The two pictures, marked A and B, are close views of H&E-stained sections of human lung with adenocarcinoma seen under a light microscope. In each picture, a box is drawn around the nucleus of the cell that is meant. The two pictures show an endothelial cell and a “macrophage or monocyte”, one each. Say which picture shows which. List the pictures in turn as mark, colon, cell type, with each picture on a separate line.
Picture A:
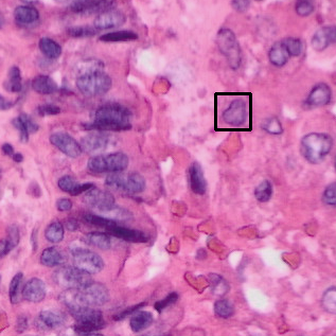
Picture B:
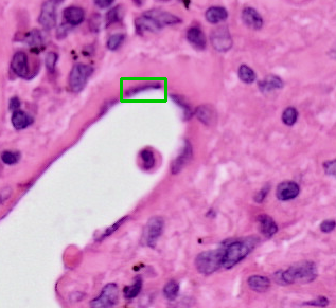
A: macrophage or monocyte
B: endothelial cell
